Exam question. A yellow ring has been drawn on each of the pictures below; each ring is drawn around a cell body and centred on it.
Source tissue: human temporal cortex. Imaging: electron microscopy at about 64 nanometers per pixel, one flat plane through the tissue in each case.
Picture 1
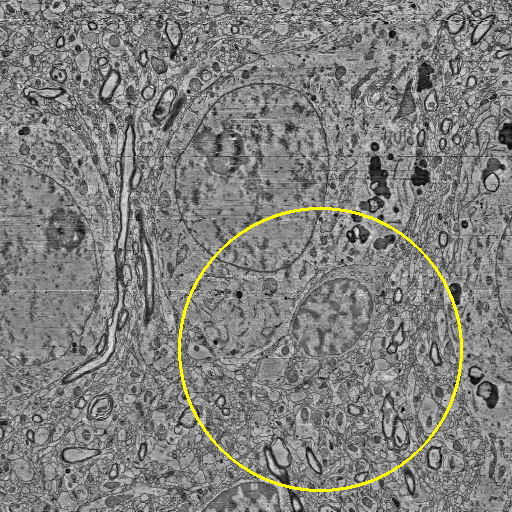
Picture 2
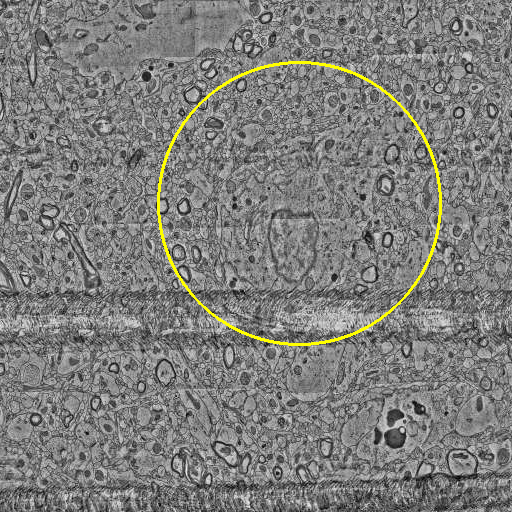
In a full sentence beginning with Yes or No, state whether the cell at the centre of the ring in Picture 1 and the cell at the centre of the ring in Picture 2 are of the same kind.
No, the cells are of two kinds.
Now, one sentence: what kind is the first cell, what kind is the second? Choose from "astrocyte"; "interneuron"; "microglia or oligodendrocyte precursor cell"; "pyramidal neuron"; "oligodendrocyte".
The first picture has an oligodendrocyte at its ring centre, and the second has a pyramidal neuron.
